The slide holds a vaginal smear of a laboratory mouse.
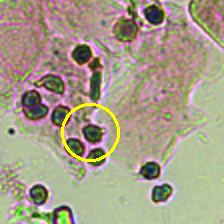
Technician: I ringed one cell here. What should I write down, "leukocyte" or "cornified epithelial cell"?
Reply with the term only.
leukocyte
